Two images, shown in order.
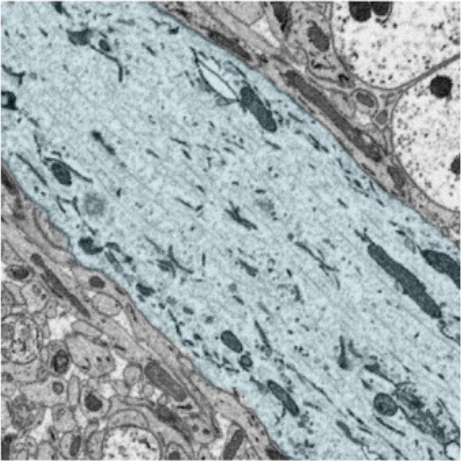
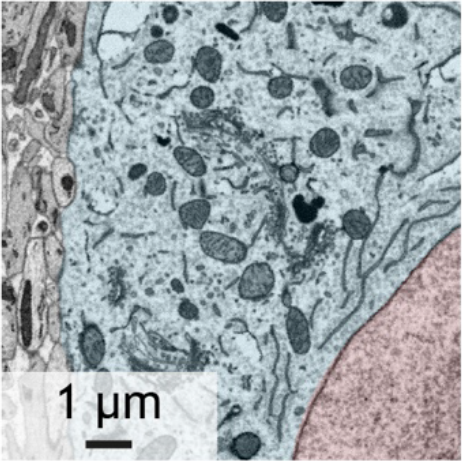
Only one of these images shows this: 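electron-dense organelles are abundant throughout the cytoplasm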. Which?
The second image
